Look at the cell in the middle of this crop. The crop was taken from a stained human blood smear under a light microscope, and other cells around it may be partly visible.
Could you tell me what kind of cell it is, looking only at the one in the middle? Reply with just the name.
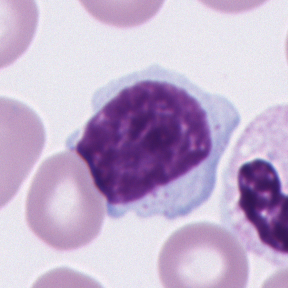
large granular lymphocyte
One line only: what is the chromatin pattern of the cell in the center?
Its chromatin is clumped in a coarse pattern.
